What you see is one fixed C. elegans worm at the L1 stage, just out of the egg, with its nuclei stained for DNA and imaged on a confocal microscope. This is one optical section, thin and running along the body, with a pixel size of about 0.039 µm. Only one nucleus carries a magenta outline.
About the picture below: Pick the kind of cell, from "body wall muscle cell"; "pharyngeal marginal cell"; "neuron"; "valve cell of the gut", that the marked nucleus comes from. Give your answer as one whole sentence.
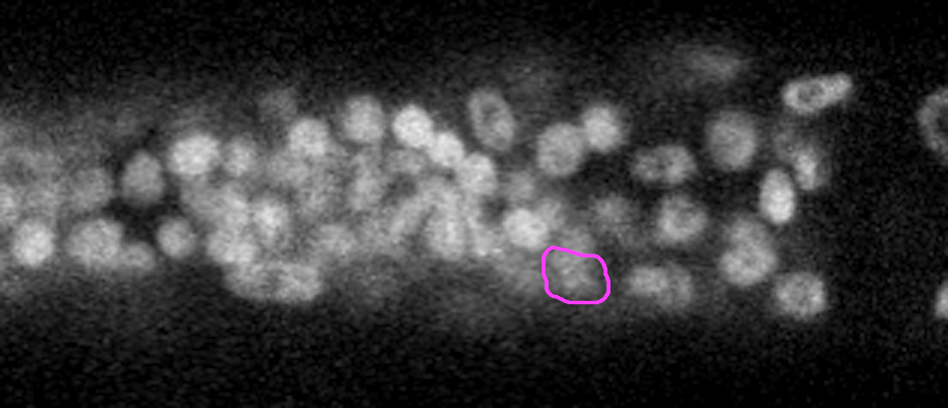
The marked cell is a neuron.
